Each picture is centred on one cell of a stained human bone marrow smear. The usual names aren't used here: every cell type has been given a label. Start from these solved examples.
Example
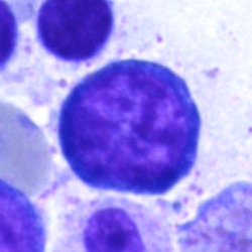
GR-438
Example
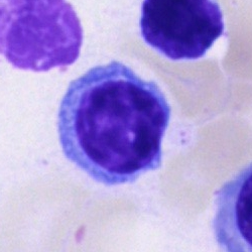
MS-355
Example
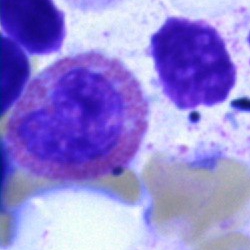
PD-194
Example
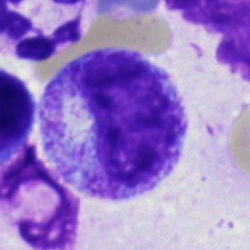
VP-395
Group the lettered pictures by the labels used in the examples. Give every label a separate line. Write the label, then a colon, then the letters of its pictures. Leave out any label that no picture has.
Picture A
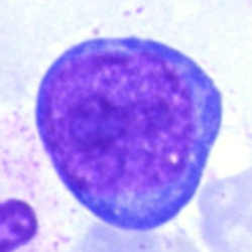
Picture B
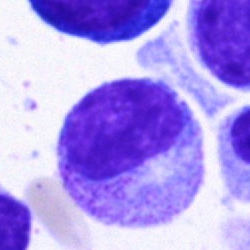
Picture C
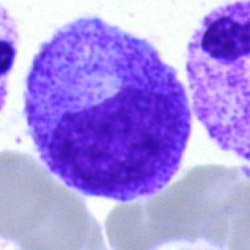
GR-438: A
VP-395: B, C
